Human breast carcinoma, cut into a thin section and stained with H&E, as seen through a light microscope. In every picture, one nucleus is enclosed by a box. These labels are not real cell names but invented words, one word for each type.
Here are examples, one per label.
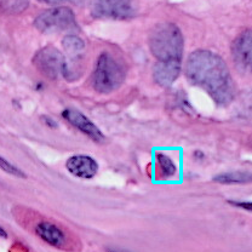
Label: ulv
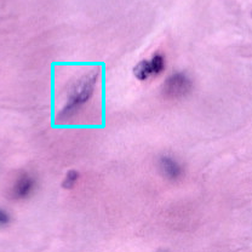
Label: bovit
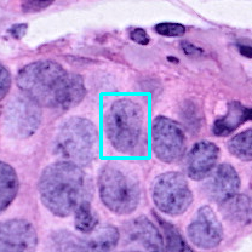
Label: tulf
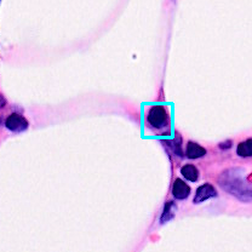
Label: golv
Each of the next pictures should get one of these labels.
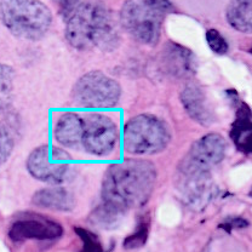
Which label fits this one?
tulf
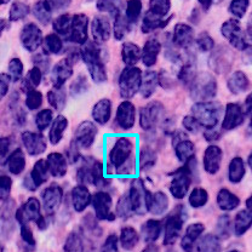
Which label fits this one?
golv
